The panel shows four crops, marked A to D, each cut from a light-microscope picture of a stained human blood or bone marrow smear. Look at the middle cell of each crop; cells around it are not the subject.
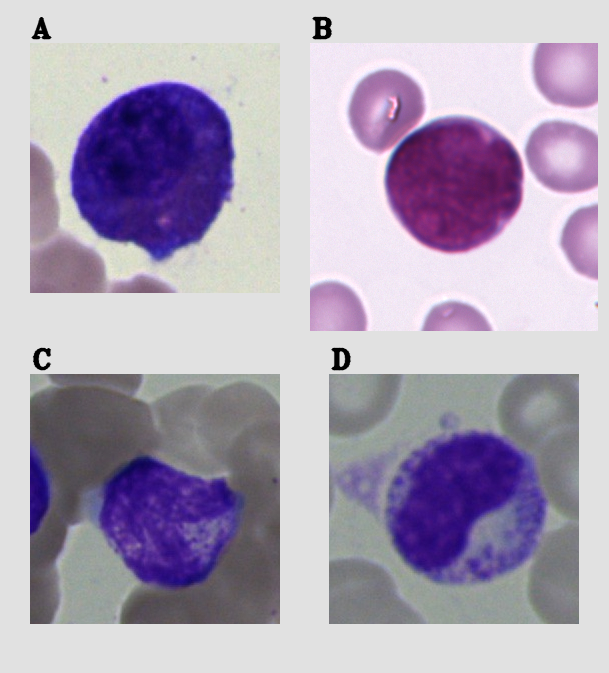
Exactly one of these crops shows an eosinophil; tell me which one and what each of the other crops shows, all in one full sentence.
The cell sitting in crop A is an eosinophil, while crop B is a blast, crop C is a metamyelocyte and crop D is a myelocyte.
